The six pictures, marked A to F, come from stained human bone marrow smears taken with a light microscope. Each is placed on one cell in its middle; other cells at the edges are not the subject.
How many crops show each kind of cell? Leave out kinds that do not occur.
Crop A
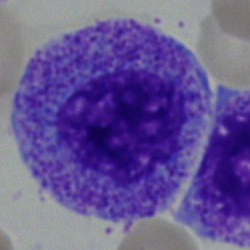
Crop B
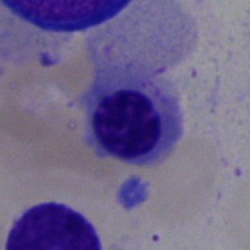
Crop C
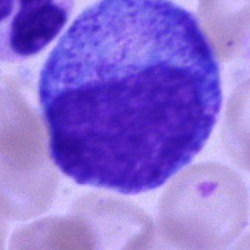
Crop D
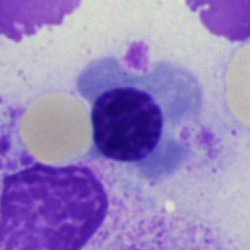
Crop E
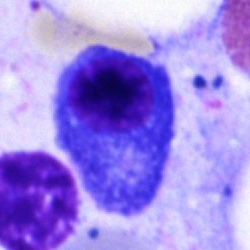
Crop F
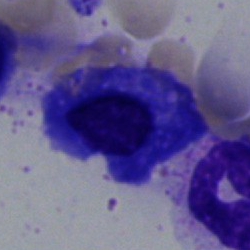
promyelocyte: 2
normoblast: 2
plasma cell: 2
